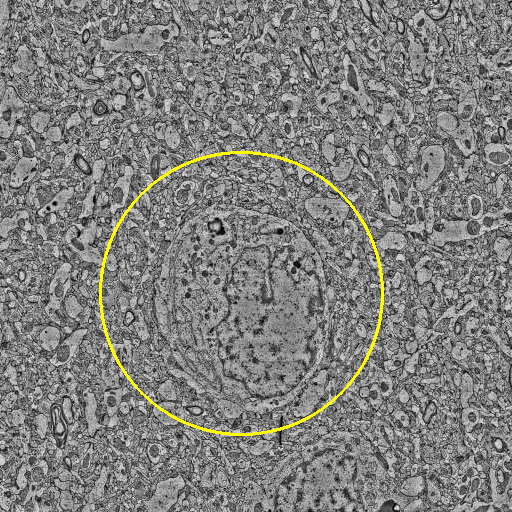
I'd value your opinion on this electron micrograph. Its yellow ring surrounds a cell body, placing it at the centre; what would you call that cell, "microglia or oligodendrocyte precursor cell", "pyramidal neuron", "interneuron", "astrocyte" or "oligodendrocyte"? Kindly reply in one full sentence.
It is an interneuron that sits centred within the yellow ring in this micrograph.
